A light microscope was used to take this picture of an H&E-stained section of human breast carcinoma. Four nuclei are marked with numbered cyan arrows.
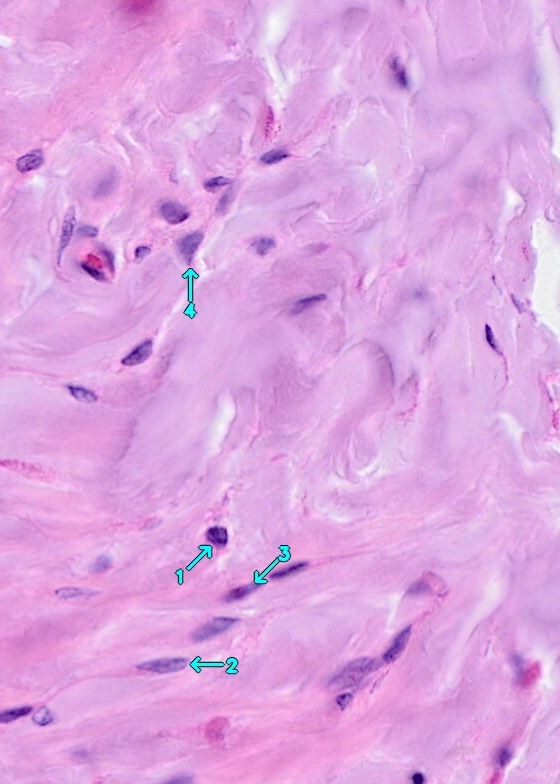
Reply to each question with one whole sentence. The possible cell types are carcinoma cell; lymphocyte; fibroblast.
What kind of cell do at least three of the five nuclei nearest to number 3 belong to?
Fibroblasts make up most of the five nuclei closest to number 3.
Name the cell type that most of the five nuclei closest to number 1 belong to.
The majority of the five nuclei closest to number 1 belong to fibroblasts.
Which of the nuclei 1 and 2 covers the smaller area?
The smaller nucleus is 1, and 2 covers roughly 1.5 times its area.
